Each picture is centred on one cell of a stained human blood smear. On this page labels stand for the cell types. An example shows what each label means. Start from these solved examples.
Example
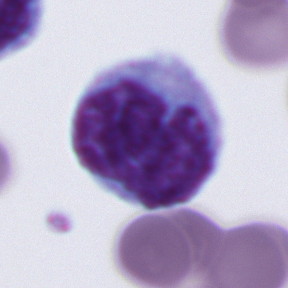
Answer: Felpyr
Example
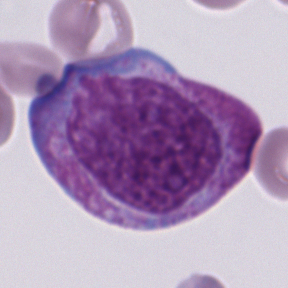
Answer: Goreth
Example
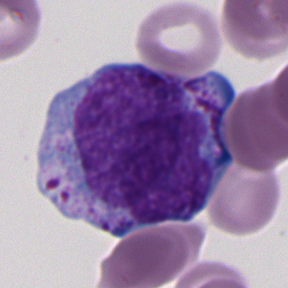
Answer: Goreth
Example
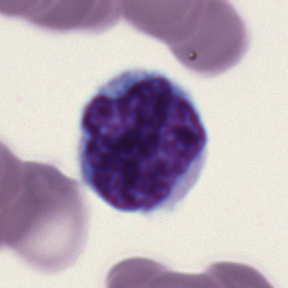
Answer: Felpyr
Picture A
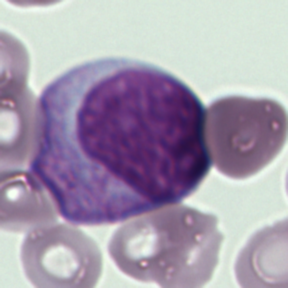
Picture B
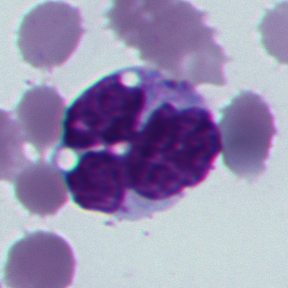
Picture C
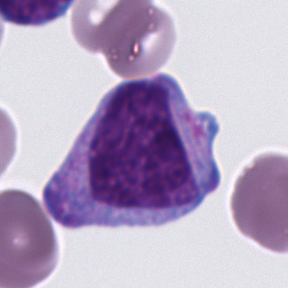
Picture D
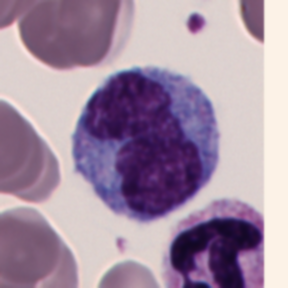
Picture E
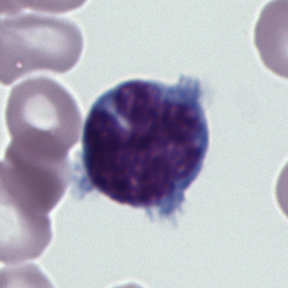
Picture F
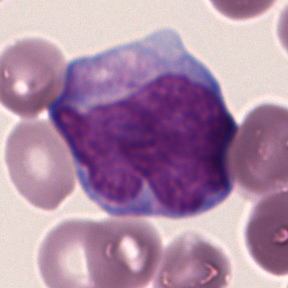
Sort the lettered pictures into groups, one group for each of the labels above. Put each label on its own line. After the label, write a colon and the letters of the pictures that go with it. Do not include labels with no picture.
Felpyr: B, D, E
Goreth: A, C, F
